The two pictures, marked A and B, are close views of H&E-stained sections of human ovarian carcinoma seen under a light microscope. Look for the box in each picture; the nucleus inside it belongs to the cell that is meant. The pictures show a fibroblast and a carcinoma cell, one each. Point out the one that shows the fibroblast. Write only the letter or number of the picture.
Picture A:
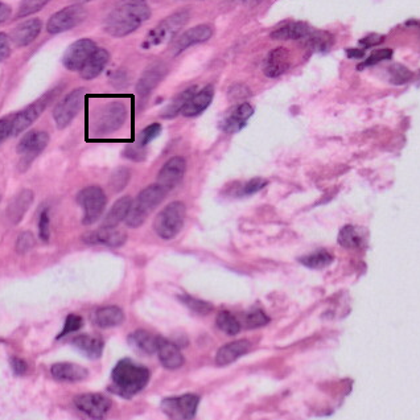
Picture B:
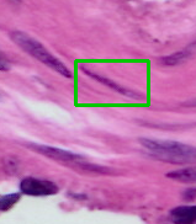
B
